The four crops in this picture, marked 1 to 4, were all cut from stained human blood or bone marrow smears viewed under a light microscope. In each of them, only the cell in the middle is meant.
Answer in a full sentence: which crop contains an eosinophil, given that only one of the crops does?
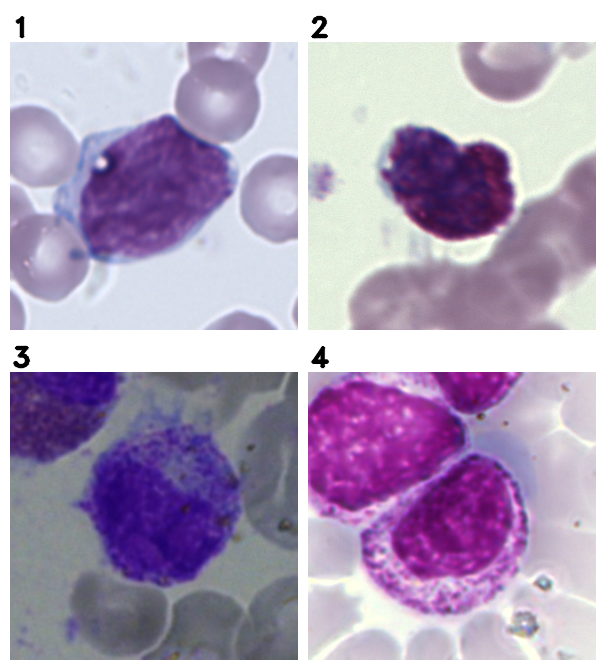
As for which crop shows an eosinophil, it is crop 2.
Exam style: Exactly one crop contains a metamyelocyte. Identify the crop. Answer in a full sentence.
Crop 3 is the right one; it is the crop showing a metamyelocyte.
